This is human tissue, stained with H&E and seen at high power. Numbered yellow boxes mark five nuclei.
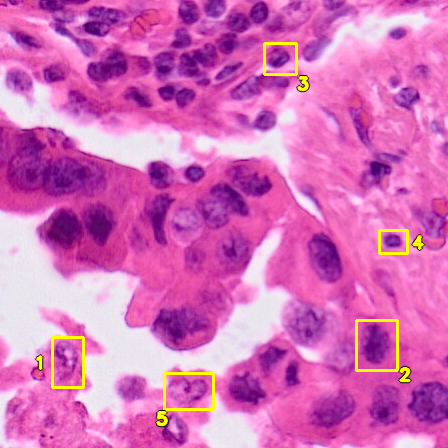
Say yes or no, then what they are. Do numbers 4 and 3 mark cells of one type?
Yes: cells 4 and 3 are both lymphocytes.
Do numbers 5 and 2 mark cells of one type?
No, cell 5 here is a macrophage or monocyte and cell 2 here is a carcinoma cell.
